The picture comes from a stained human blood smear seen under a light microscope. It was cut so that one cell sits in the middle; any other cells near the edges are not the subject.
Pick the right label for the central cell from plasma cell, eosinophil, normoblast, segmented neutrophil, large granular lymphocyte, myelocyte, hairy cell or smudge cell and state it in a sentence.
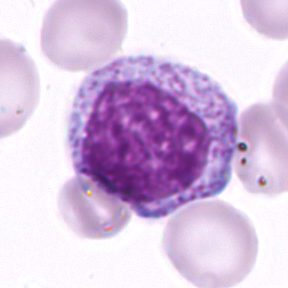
The centrally located cell in the crop is a myelocyte.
